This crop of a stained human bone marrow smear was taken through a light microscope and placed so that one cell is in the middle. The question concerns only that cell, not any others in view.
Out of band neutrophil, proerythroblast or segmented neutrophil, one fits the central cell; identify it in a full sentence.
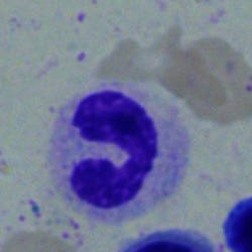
The crop centres on a single cell, and that cell is a band neutrophil.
